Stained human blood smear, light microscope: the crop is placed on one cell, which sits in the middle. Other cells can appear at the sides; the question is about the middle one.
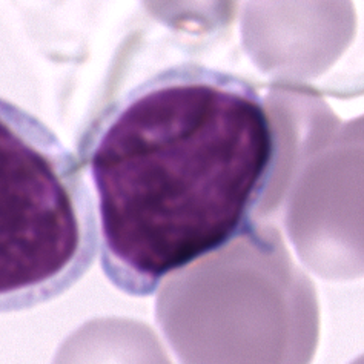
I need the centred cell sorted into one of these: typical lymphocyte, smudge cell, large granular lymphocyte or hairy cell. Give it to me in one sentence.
The central cell in this smear crop is a large granular lymphocyte.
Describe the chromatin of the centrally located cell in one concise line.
The chromatin here is fine and lacks any coarse clumps.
